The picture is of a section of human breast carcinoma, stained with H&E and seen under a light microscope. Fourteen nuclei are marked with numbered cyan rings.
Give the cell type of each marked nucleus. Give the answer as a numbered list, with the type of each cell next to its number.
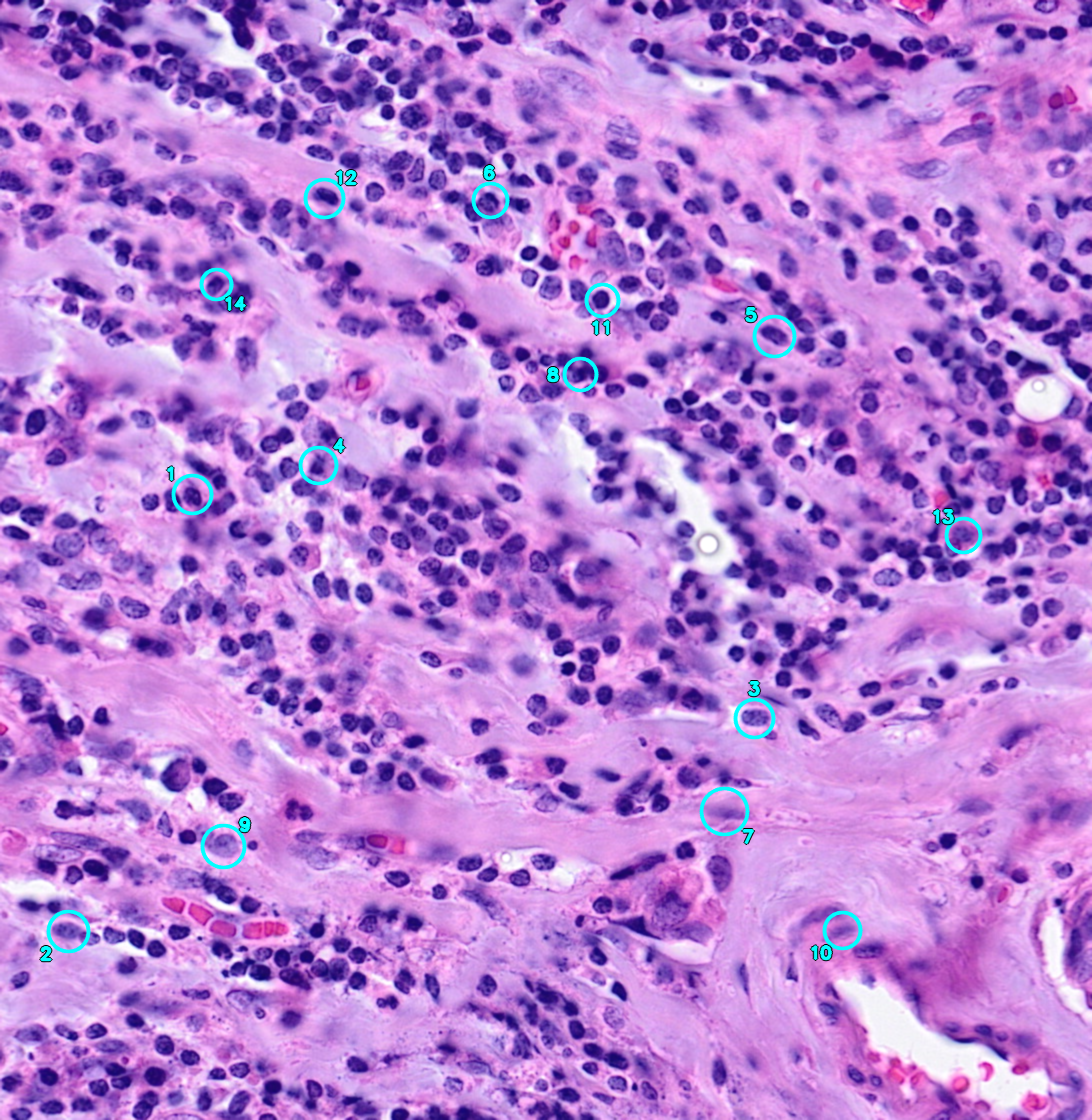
1. lymphocyte
2. mast cell
3. mast cell
4. lymphocyte
5. lymphocyte
6. lymphocyte
7. fibroblast
8. lymphocyte
9. macrophage, monocyte or dendritic cell
10. endothelial cell
11. lymphocyte
12. lymphocyte
13. mast cell
14. lymphocyte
